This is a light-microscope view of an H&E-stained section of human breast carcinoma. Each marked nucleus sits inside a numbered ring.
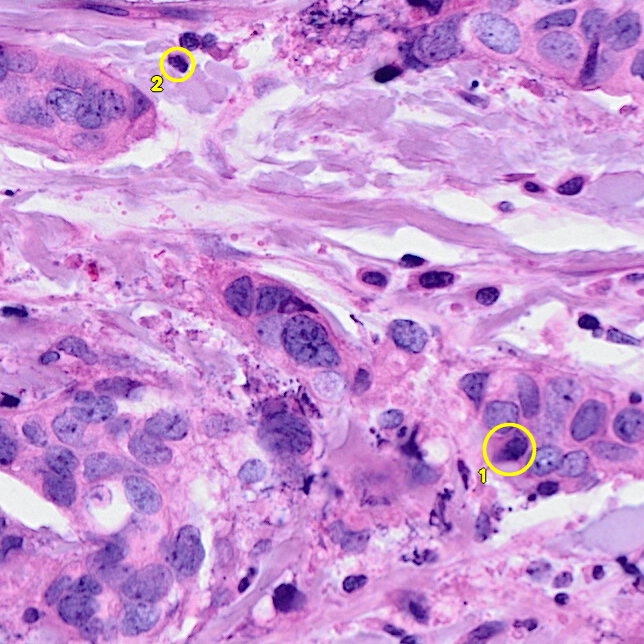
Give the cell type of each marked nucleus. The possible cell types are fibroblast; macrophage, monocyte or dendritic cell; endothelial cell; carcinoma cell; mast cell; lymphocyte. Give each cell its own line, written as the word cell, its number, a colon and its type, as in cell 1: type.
cell 1: carcinoma cell
cell 2: lymphocyte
